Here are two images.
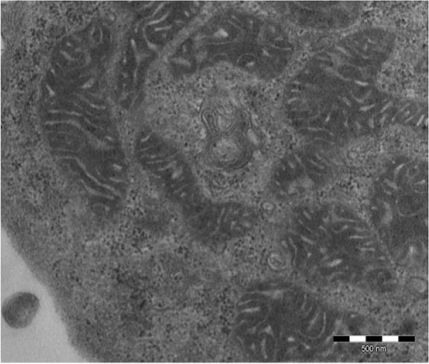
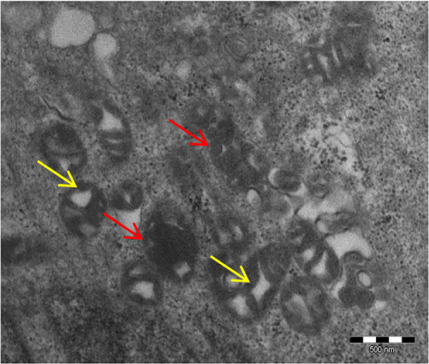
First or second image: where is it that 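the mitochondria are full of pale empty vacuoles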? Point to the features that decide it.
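Second image: small round mitochondria with large pale empty spaces and few cristae. First image: elongated mitochondria filled with closely packed cristae and no large pale spaces. So: the second image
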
